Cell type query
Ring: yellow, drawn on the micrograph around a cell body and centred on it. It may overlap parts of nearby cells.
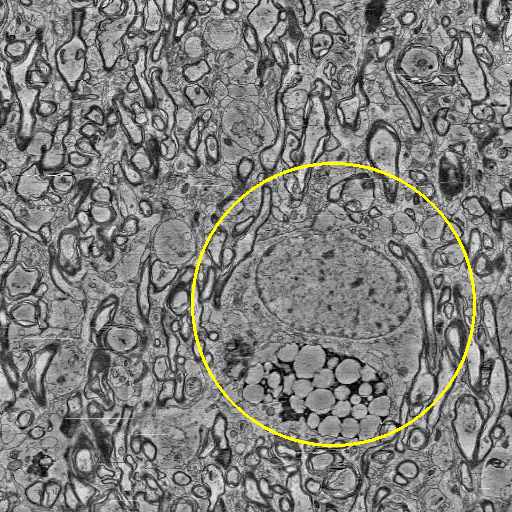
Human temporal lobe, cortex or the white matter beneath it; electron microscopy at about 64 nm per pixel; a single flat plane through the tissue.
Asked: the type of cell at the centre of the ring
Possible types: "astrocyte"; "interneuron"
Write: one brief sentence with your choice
The ring marks an astrocyte.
